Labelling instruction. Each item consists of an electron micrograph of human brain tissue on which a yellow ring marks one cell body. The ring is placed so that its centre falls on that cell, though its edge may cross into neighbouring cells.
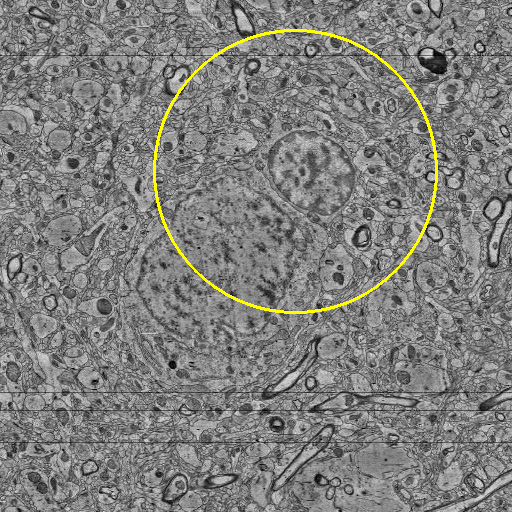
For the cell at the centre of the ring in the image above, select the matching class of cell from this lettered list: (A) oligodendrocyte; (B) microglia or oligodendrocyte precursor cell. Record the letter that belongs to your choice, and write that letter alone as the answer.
A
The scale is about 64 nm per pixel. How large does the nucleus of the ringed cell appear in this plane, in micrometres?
The nucleus has a long axis of about 6 micrometres and a short axis of about 5 micrometres in this plane.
